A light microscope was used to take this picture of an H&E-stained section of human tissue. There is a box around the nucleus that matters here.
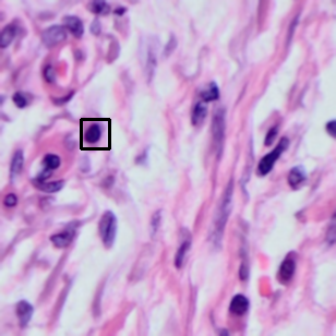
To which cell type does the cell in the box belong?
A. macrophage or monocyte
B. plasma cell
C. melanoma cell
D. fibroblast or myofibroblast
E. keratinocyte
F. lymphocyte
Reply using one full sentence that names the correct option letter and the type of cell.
Here the cell in the box is a plasma cell; pick option B.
